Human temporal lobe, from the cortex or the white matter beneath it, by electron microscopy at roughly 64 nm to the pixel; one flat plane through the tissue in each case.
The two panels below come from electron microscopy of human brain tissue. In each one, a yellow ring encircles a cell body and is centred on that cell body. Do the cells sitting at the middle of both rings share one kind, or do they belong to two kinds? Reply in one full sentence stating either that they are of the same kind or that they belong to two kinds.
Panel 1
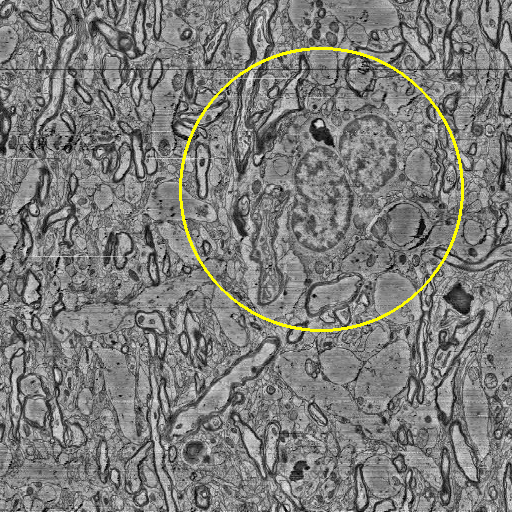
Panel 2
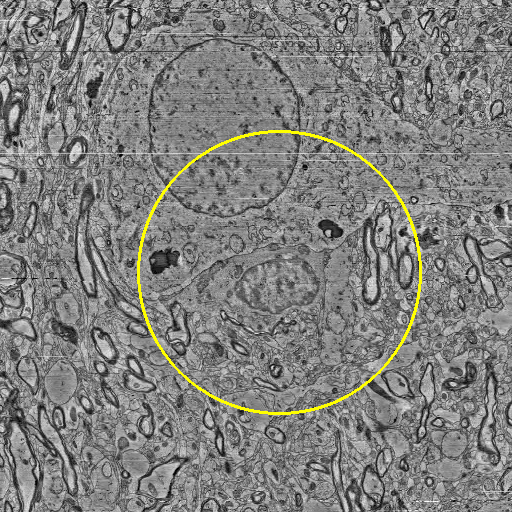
The cells at the centres of the two rings are of the same kind.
